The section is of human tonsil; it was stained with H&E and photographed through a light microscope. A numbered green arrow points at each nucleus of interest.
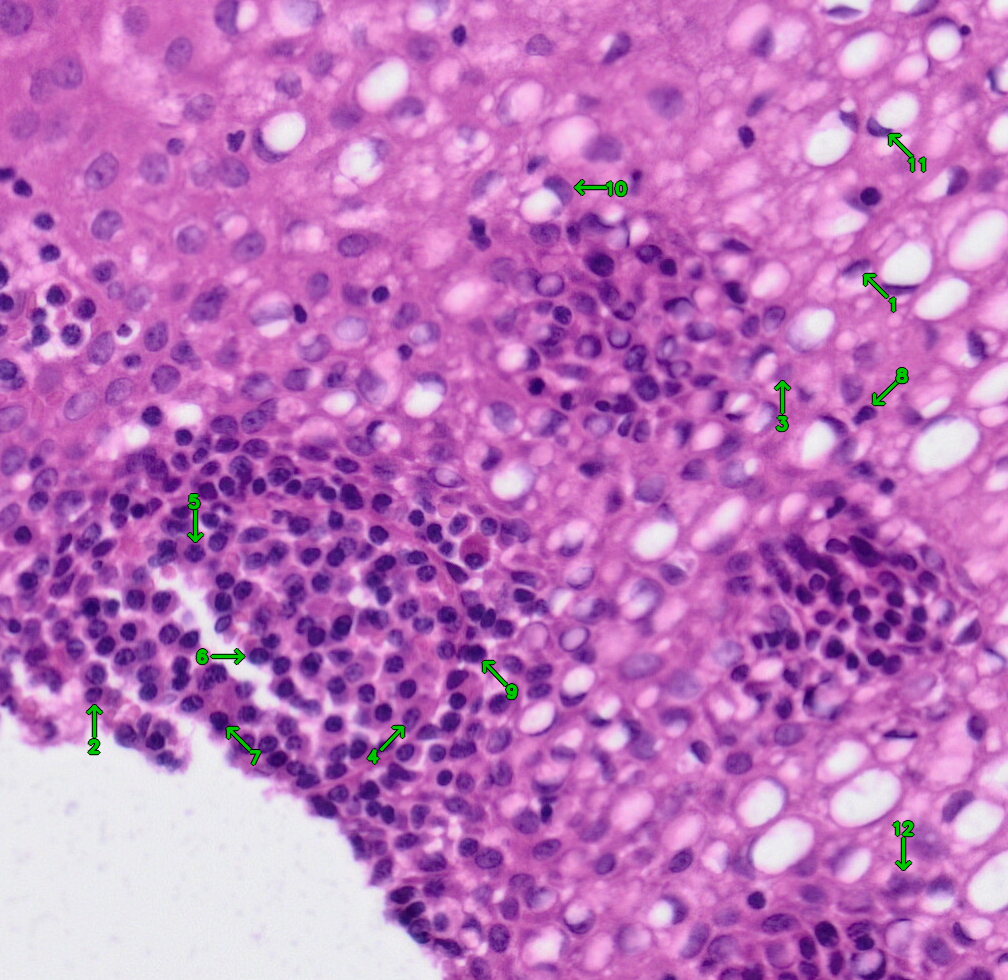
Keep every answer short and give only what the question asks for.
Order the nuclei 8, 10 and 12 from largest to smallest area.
12, 10, 8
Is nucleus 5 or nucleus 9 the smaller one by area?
5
